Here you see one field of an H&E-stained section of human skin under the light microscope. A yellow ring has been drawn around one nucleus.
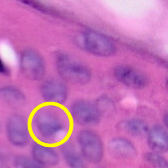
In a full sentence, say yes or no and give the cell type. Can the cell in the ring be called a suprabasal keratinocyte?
Yes, the cell in the ring is rightly regarded as a suprabasal keratinocyte.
